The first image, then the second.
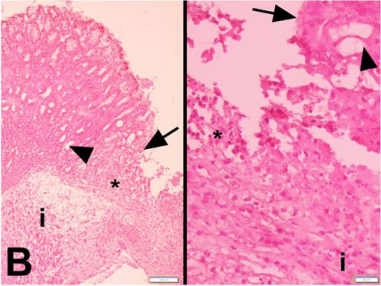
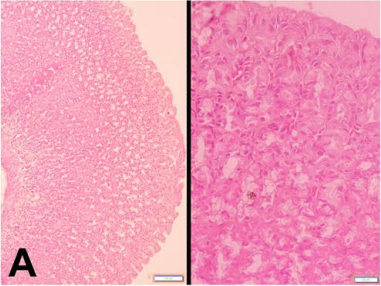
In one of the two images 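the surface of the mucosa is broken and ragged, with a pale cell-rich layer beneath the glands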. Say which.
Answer: the first image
